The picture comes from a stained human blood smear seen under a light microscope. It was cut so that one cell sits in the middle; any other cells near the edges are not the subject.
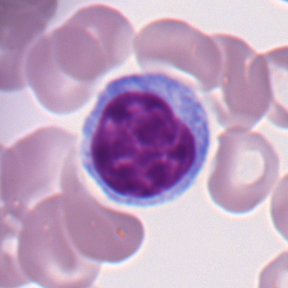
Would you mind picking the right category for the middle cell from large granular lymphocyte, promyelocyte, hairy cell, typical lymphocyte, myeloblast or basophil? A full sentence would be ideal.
The centered cell in this crop is a typical lymphocyte.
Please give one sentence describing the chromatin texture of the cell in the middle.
One feature to record is coarsely clumped chromatin.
